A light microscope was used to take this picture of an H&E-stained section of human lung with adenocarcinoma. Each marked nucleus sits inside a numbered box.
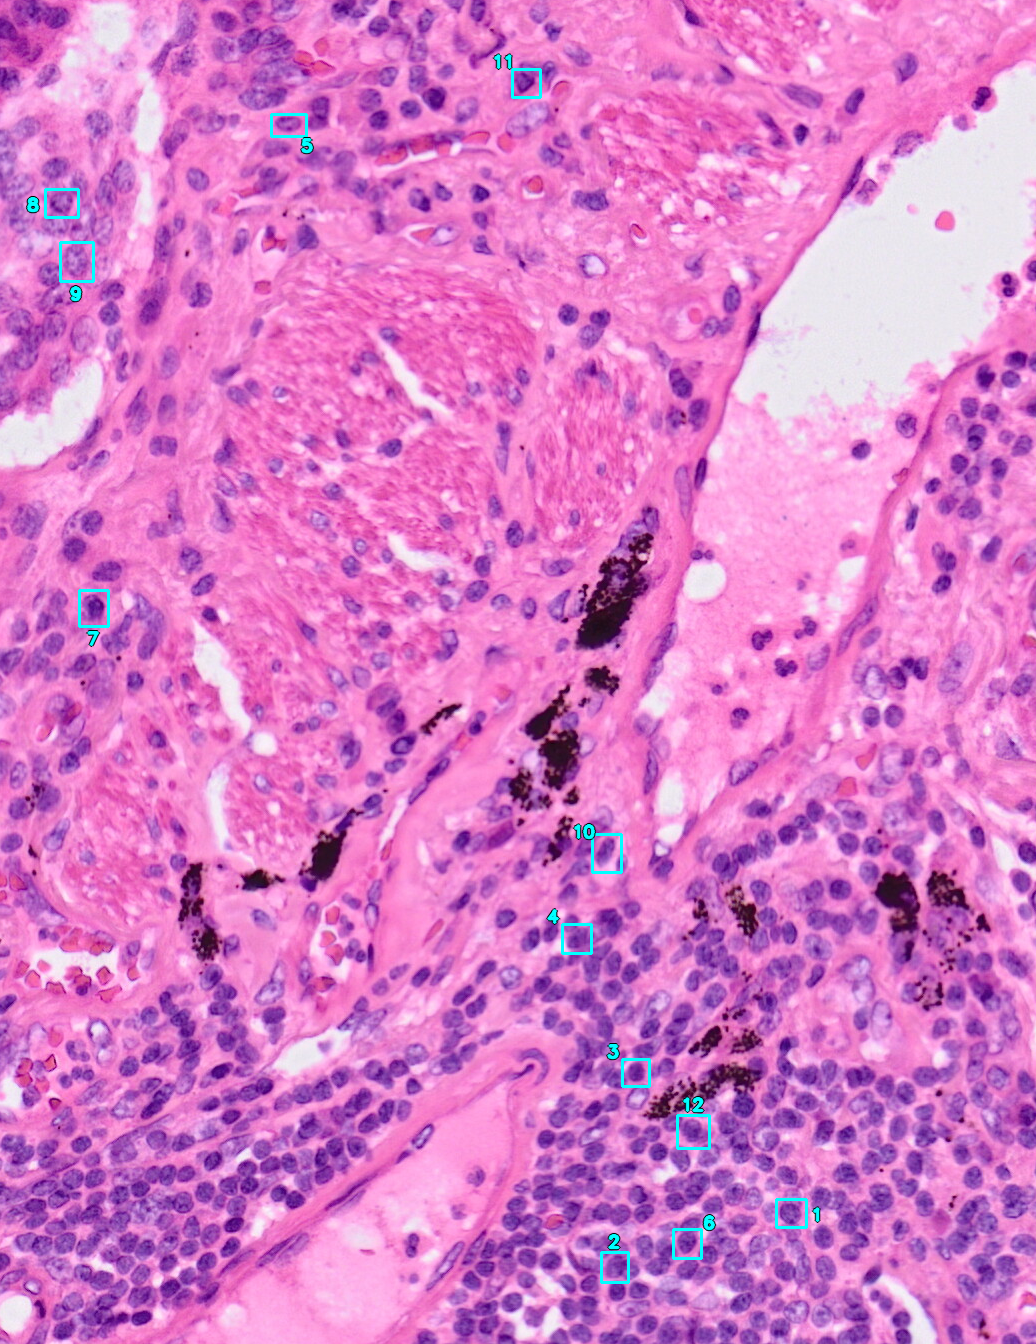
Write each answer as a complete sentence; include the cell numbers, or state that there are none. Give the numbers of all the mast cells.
Exactly one numbered cell is a mast cell, and that cell is number 5.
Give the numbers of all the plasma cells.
The cells numbered 7 and 11 are, by type, plasma cells.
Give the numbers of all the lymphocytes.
Cells 1, 2, 3, 4, 6, 10 and 12 are classified as lymphocytes.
